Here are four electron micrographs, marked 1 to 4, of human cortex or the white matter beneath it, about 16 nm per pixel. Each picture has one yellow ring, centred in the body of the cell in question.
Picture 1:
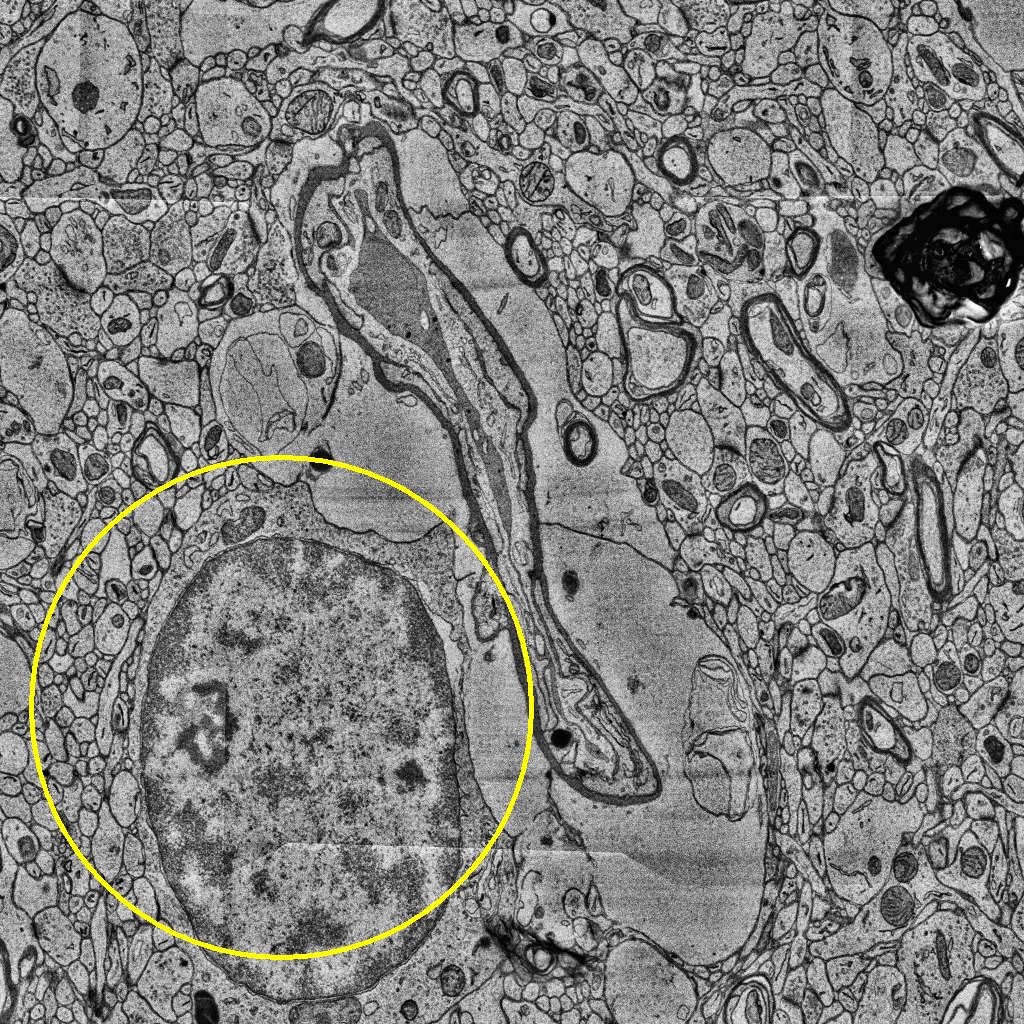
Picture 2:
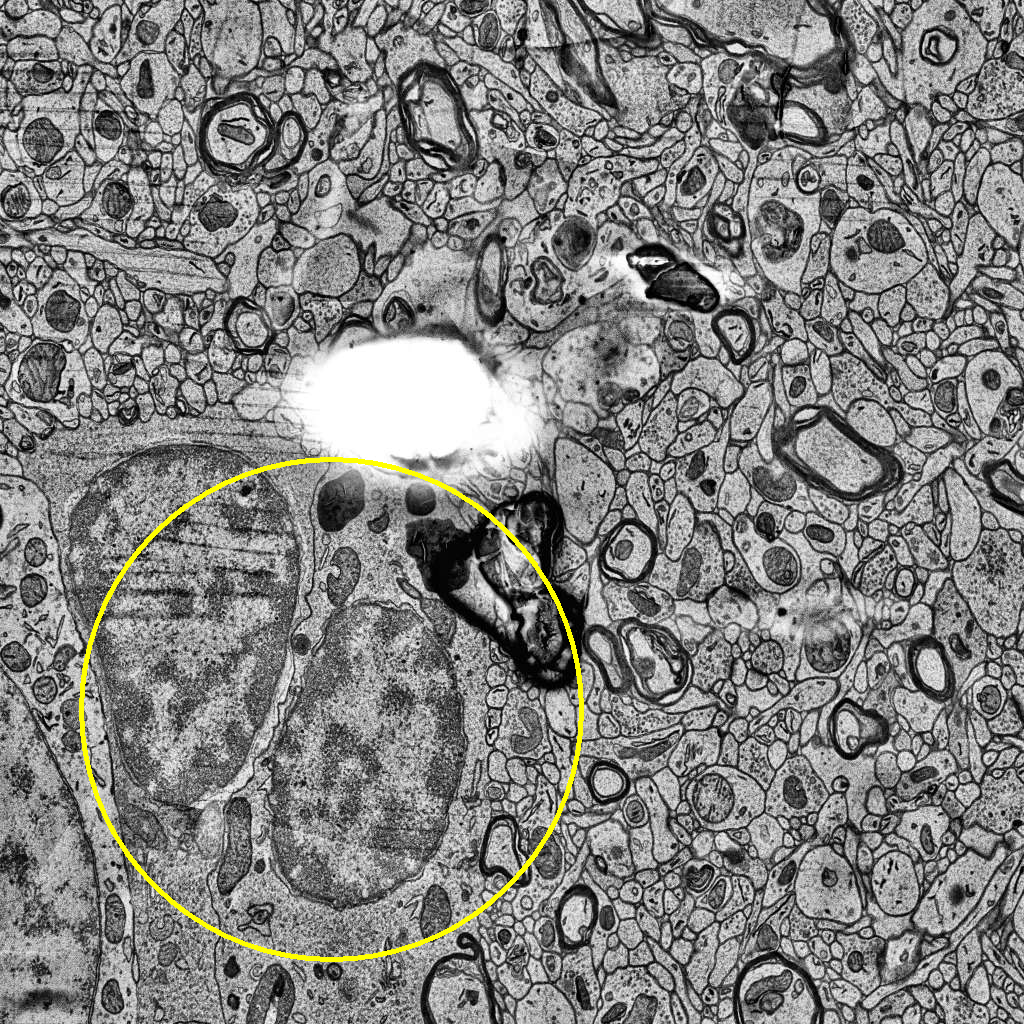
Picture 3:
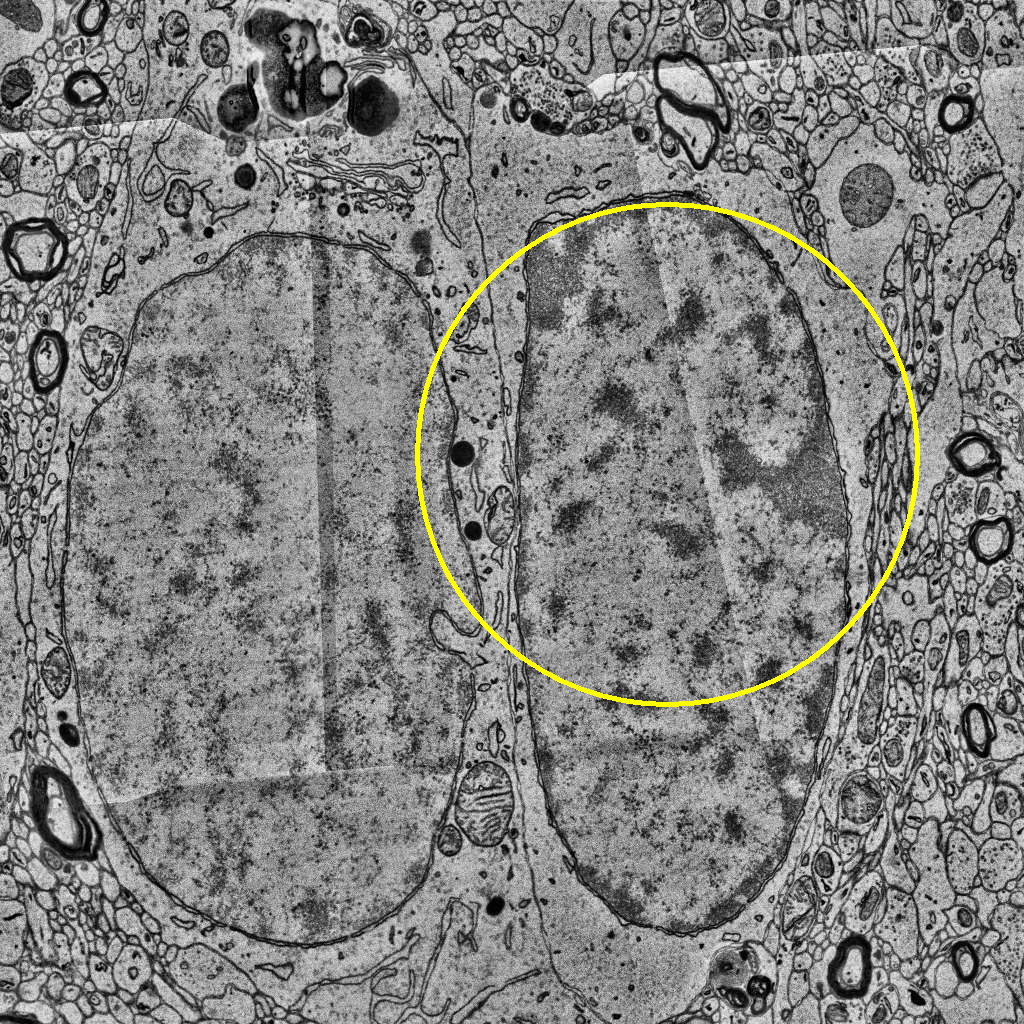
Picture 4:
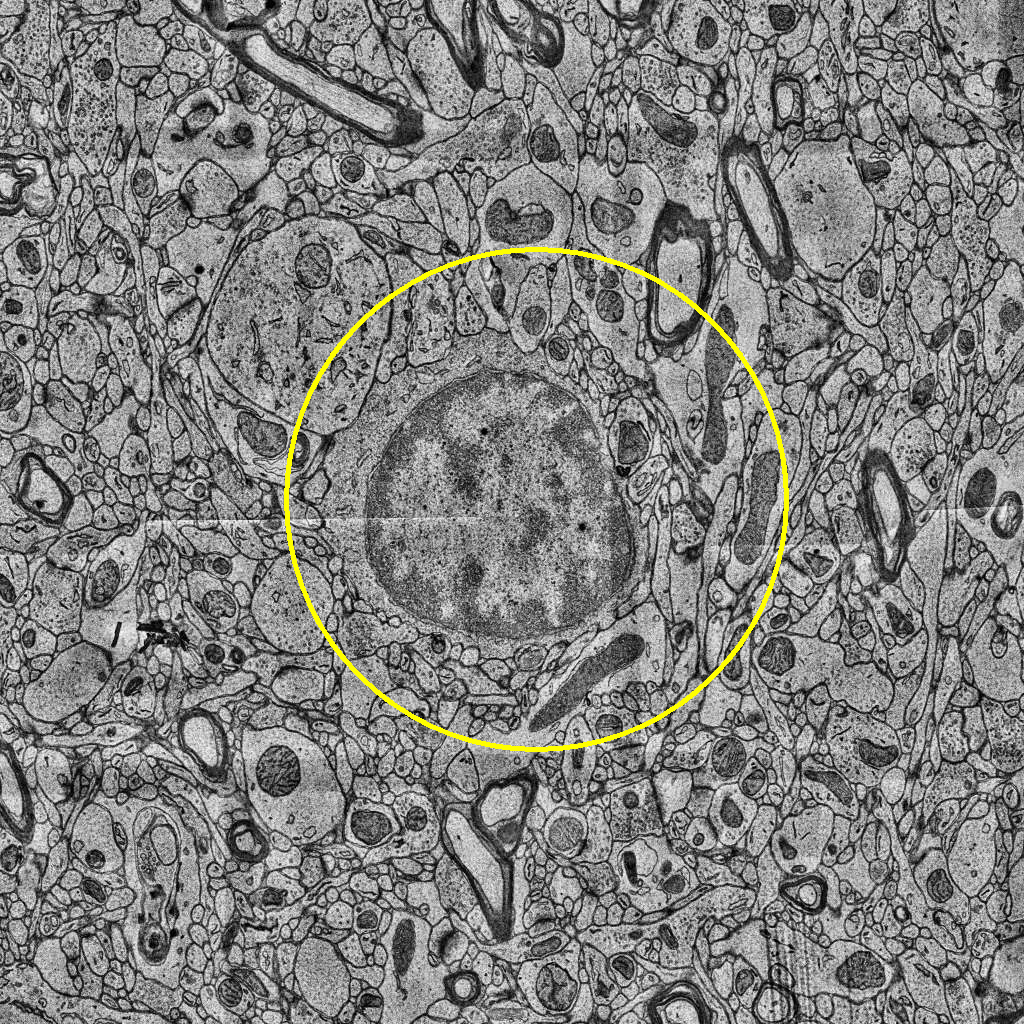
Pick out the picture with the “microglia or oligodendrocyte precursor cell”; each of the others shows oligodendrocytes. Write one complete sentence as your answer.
The cell in picture 3 is the “microglia or oligodendrocyte precursor cell”.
